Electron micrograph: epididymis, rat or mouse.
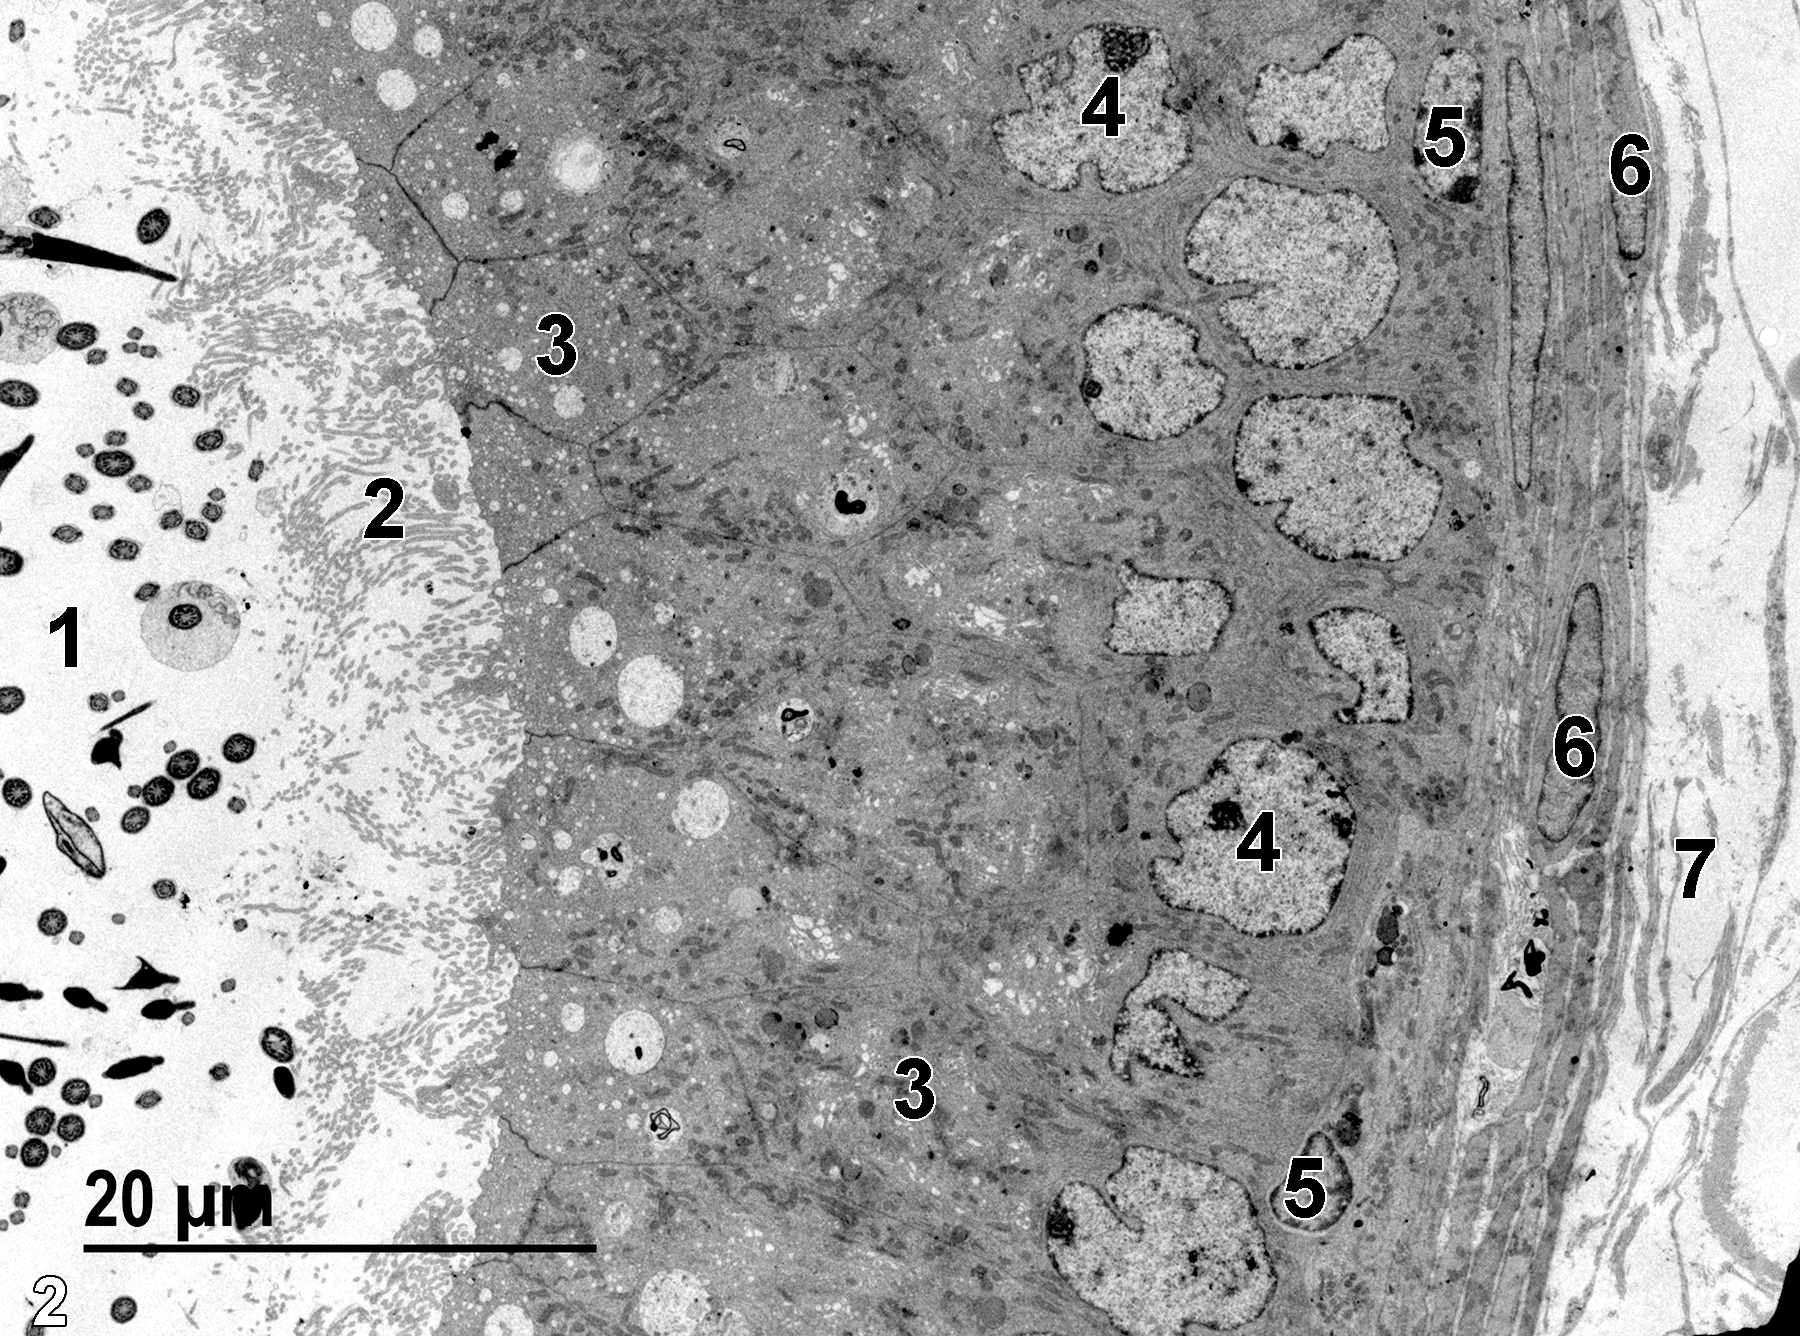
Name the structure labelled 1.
Lumen.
